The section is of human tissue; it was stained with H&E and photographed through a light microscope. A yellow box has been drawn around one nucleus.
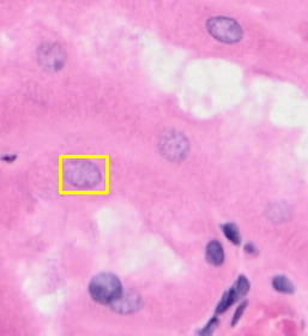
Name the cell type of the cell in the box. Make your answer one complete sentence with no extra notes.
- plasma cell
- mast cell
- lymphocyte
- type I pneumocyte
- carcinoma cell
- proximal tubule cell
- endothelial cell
In this field of tissue, the cell in the box is a proximal tubule cell.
